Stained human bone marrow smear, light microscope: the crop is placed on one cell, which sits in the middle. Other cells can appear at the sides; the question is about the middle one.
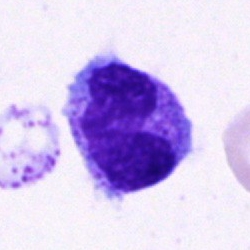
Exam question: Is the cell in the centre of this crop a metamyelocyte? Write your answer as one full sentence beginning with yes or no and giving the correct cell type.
Yes, the cell at the centre of the field is a metamyelocyte.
